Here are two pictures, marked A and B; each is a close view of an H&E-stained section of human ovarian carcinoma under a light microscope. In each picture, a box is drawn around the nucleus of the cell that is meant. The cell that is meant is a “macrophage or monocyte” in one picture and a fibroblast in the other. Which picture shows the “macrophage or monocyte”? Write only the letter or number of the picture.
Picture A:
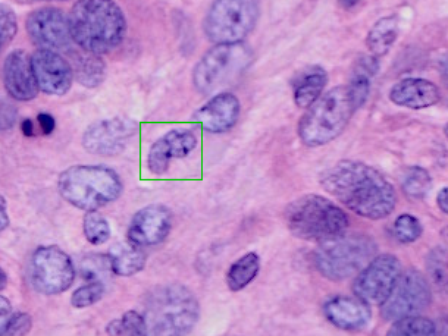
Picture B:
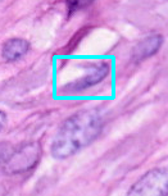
A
